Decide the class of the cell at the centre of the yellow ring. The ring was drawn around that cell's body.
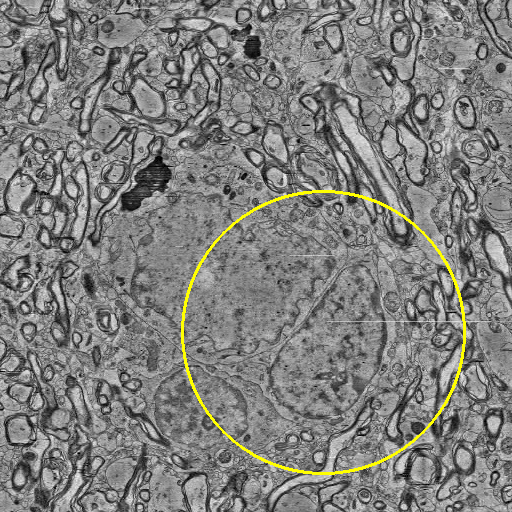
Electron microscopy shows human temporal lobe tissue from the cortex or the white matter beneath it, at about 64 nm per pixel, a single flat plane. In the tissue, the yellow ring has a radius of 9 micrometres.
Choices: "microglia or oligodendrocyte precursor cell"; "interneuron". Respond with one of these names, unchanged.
microglia or oligodendrocyte precursor cell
